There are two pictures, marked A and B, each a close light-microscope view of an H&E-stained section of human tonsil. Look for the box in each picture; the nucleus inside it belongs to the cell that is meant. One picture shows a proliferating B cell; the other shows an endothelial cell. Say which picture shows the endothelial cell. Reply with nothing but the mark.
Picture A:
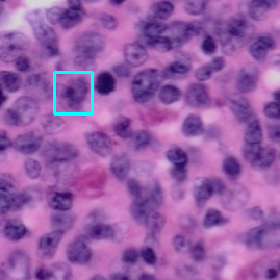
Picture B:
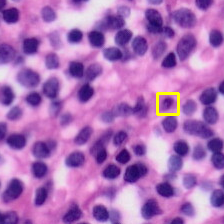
B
